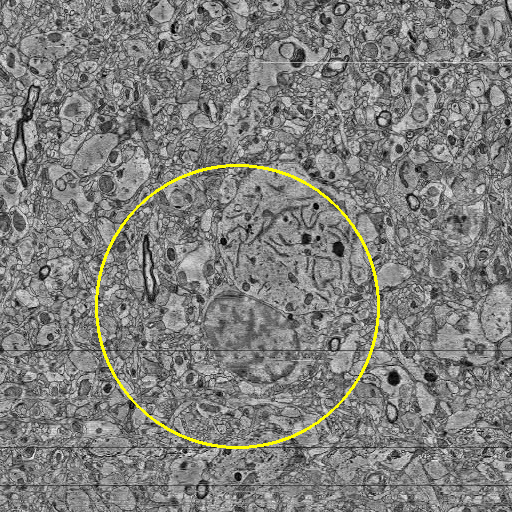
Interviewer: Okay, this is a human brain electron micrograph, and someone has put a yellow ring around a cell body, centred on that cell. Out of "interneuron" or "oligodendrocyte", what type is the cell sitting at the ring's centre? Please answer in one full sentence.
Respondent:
The cell at the centre of the yellow ring in this picture is an oligodendrocyte.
